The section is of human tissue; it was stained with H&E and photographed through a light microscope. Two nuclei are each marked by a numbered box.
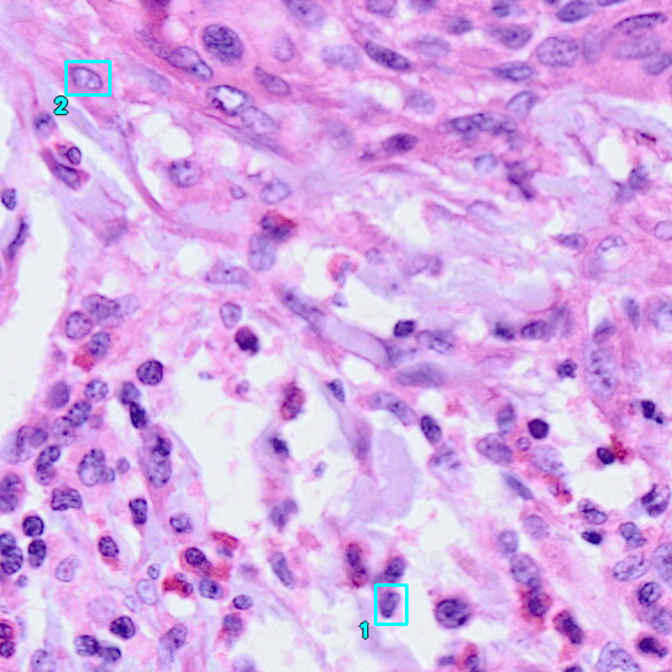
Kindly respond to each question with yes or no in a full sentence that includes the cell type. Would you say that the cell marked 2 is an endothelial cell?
Yes, the cell shown as number 2 is an endothelial cell.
